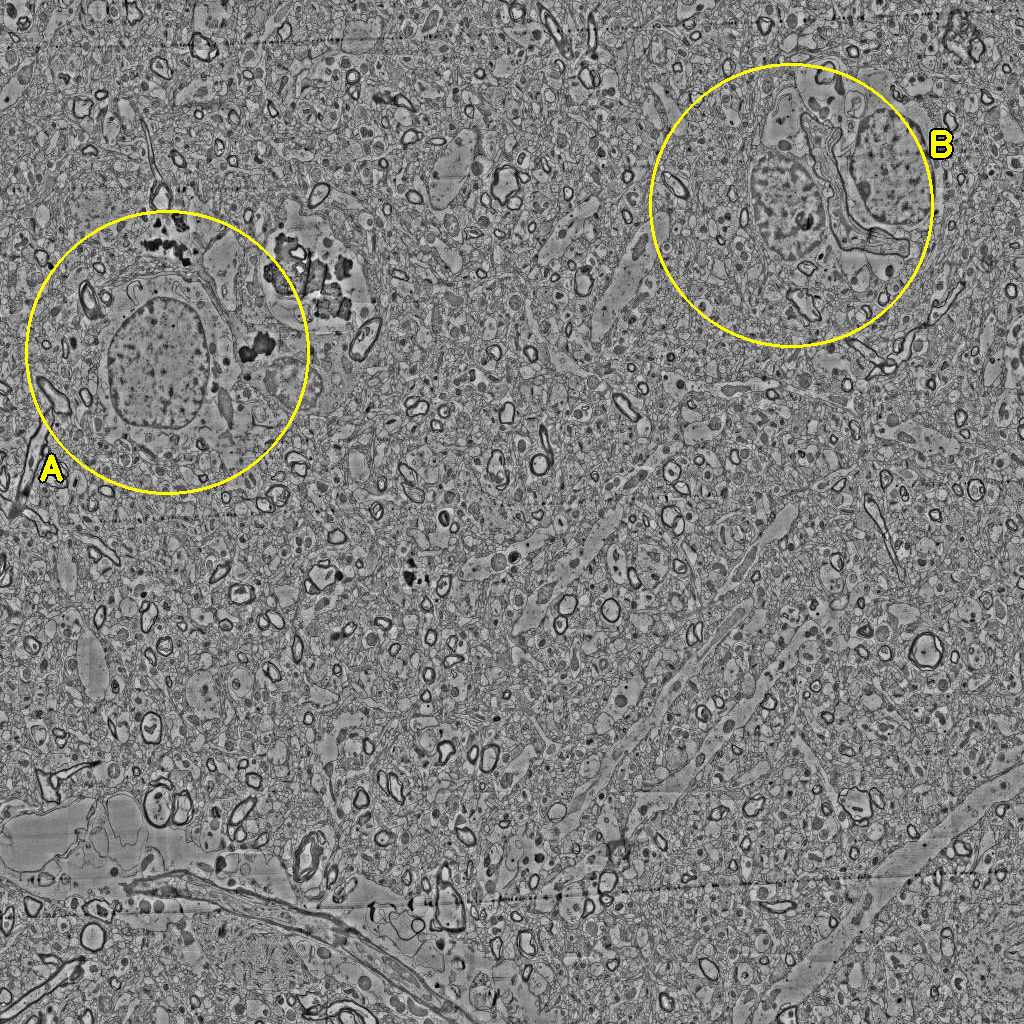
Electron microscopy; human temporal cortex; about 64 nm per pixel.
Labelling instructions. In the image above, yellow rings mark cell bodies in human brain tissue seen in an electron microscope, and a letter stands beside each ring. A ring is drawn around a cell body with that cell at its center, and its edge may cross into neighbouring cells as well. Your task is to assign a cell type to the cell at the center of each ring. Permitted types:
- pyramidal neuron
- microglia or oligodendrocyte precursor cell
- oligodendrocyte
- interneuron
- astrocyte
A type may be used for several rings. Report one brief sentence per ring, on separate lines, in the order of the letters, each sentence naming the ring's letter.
The cell at the center of ring A is an astrocyte.
The cell at the center of ring B is an oligodendrocyte.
